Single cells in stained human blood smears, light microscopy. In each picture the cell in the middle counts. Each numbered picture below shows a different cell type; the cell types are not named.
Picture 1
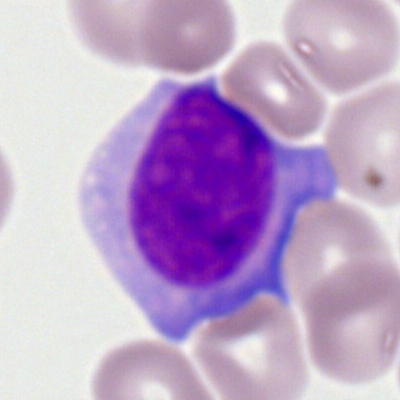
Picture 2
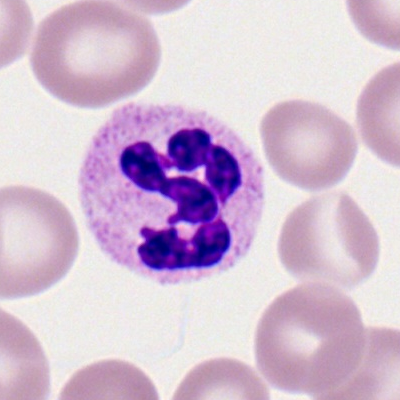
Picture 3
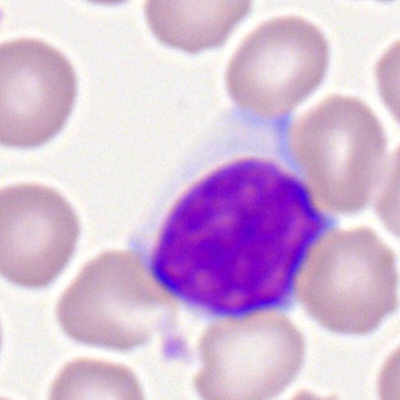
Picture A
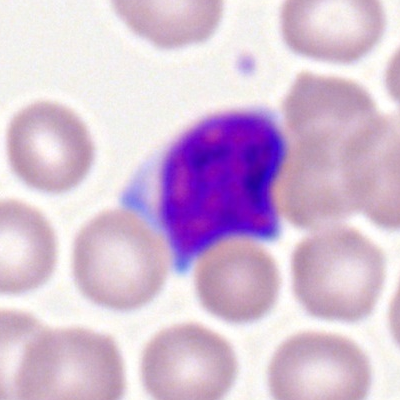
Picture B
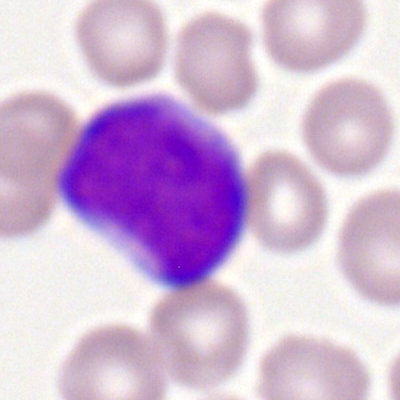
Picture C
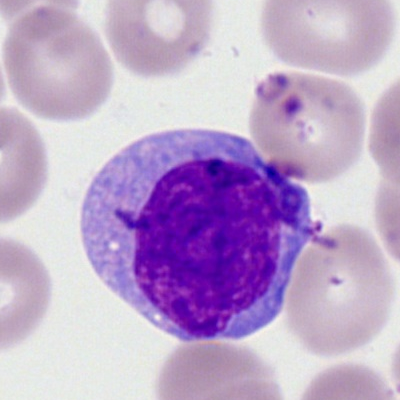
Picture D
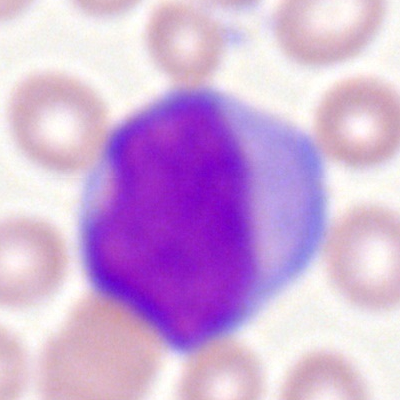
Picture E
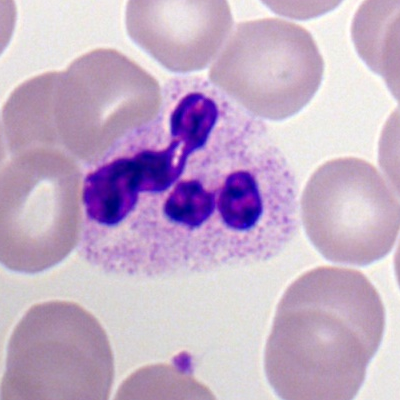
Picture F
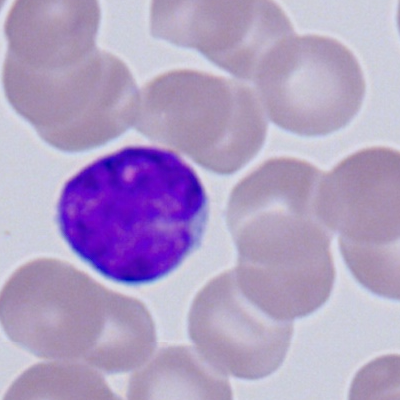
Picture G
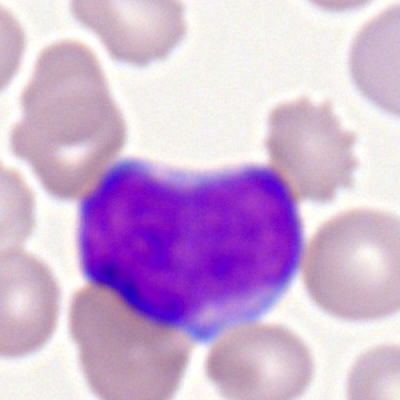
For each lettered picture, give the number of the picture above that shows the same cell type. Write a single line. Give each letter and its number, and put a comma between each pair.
A 3, B 1, C 1, D 1, E 2, F 3, G 1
